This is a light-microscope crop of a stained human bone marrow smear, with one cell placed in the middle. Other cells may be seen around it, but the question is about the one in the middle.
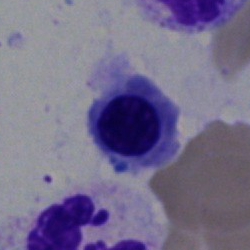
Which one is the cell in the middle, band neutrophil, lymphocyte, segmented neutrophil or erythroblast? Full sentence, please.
The central cell, amid any neighbouring cells, is an erythroblast.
